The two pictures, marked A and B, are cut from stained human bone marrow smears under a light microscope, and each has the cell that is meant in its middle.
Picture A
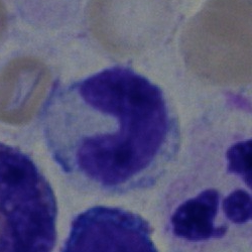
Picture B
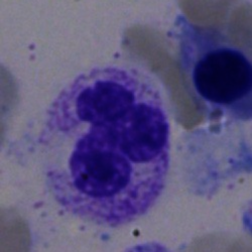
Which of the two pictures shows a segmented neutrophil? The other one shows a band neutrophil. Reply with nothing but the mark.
B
